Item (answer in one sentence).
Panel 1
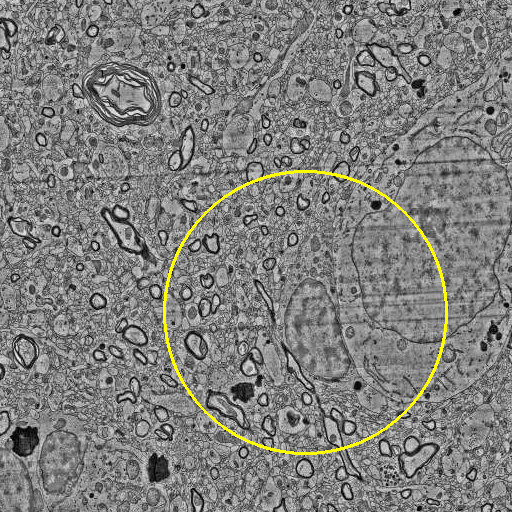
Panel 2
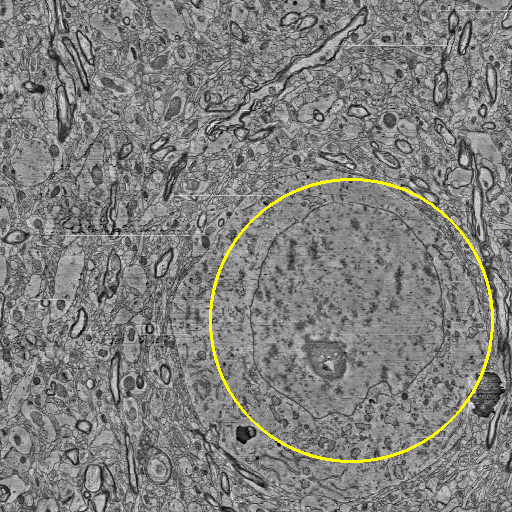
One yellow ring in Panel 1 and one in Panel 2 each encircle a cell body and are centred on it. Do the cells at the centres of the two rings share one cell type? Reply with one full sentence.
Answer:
No, Panel 1 and Panel 2 show cells of two types at the centres of their rings.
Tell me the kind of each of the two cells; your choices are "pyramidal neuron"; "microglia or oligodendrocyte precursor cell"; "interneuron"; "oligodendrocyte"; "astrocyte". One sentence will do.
The ringed cell is an oligodendrocyte in the first picture and a pyramidal neuron in the second picture.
